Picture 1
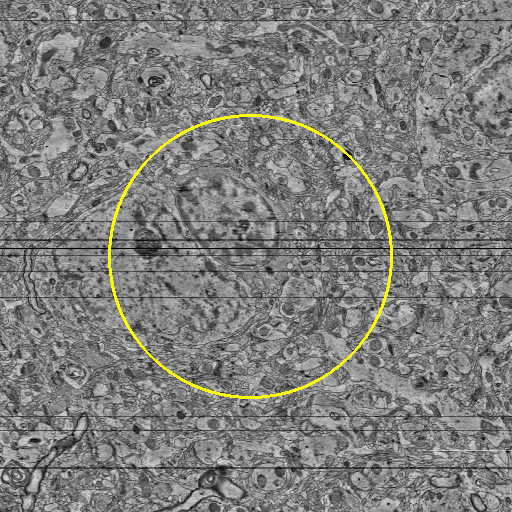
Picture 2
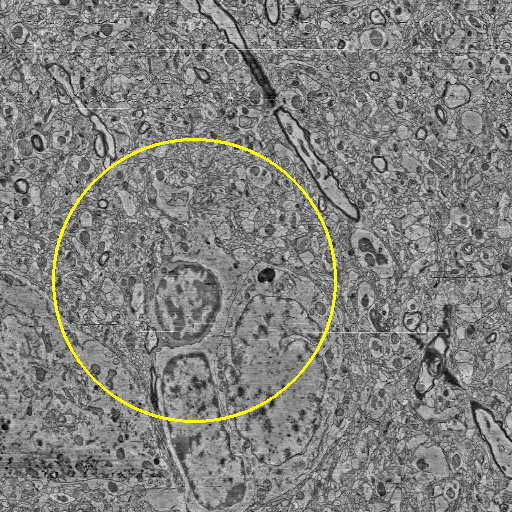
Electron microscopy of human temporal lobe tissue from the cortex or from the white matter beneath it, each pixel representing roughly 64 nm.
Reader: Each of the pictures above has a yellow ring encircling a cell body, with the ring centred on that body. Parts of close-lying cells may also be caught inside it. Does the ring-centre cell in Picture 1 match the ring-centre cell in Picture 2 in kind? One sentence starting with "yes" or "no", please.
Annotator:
Yes, Picture 1 and Picture 2 show ring-centre cells of a single kind.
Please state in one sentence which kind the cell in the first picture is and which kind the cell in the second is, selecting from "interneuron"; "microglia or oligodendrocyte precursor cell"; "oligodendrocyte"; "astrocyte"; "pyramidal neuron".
In each picture the ringed cell is an oligodendrocyte.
